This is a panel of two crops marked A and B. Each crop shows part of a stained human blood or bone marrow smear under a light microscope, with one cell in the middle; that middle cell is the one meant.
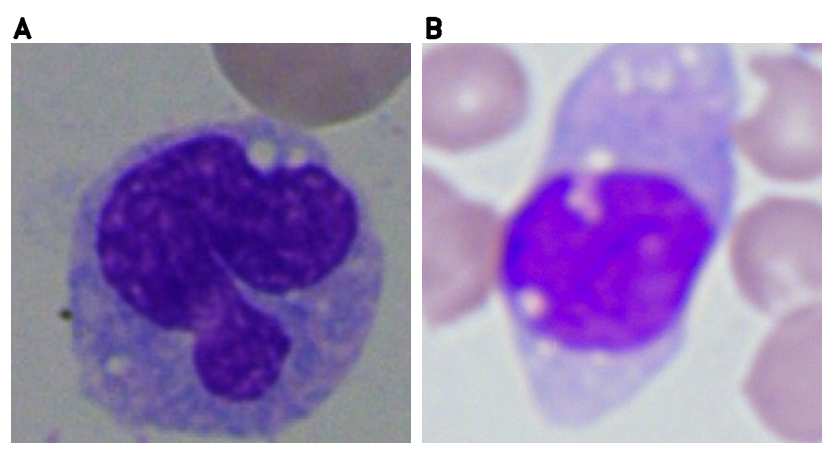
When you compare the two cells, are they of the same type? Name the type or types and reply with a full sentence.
Yes, at the centre of both crops are monocytes.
